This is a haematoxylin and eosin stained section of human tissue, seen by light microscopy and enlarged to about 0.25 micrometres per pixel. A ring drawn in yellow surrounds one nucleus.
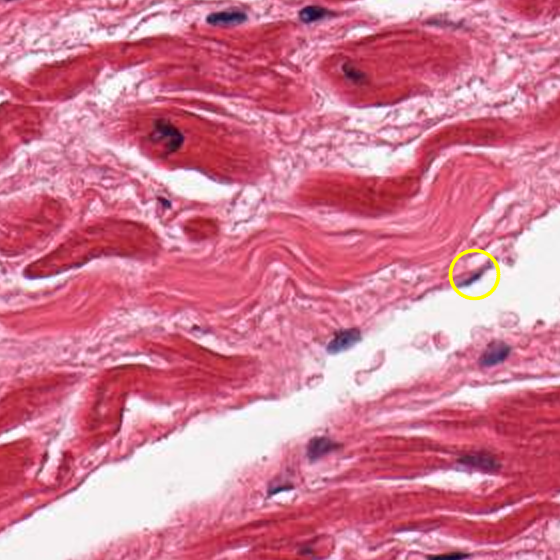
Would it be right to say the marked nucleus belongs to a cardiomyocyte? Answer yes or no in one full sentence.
No, the marked nucleus is not the nucleus of a cardiomyocyte but of a supporting cell.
